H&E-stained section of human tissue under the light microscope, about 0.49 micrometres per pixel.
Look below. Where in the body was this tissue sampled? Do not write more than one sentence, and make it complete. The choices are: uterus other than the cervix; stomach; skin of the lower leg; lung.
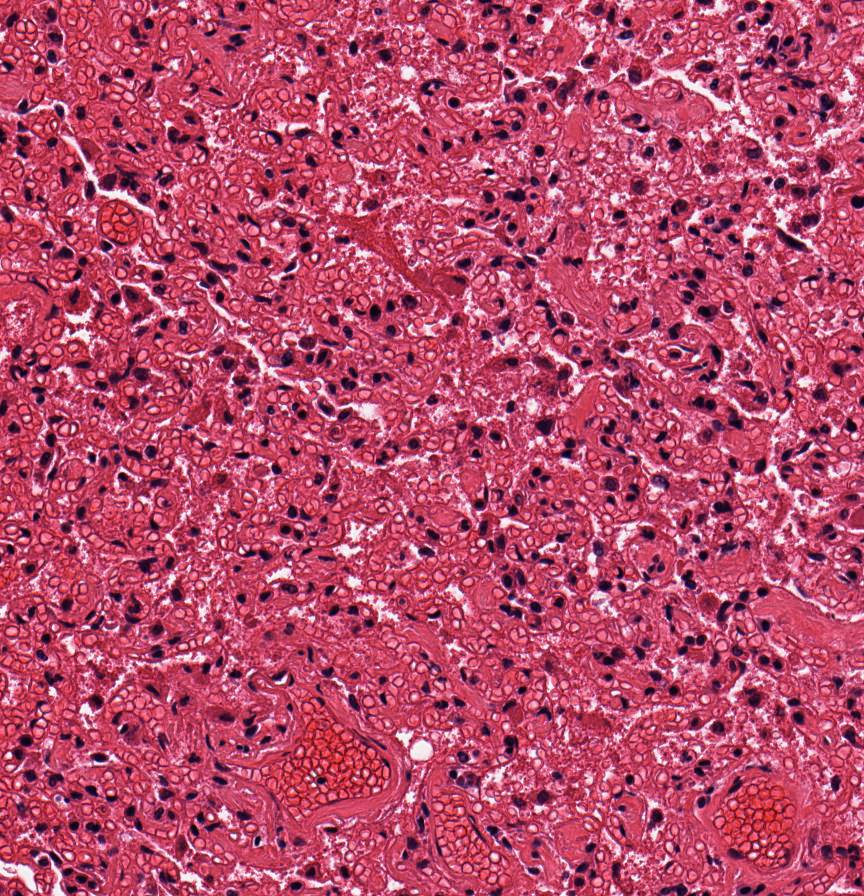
This histological section comes from the lung.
